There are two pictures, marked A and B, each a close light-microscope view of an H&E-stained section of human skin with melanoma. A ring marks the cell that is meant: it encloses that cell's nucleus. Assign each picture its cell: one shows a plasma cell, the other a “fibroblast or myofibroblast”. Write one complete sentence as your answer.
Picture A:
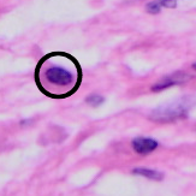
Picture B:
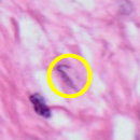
The cell in picture A is a plasma cell, and the one in picture B is a “fibroblast or myofibroblast”.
